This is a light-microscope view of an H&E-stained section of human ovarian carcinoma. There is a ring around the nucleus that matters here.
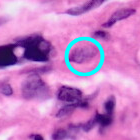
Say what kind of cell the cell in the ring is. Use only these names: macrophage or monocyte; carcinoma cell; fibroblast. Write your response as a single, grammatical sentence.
The category to which the cell in the ring belongs is that of a fibroblast.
